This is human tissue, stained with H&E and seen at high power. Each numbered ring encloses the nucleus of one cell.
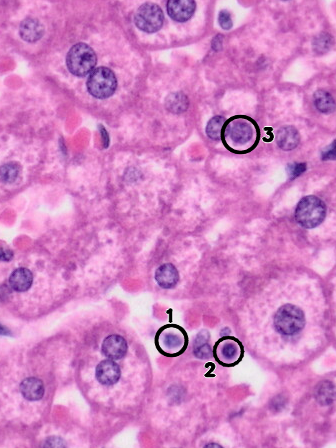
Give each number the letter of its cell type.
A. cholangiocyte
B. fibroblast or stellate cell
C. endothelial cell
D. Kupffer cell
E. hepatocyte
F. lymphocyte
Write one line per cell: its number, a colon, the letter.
1: F
2: F
3: E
